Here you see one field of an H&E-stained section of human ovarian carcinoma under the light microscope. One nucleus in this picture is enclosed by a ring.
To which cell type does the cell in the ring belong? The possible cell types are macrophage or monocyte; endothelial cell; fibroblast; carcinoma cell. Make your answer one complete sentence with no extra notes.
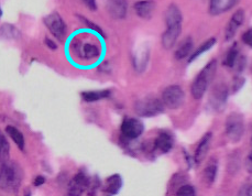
Within the stained tissue, the cell in the ring is an endothelial cell.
